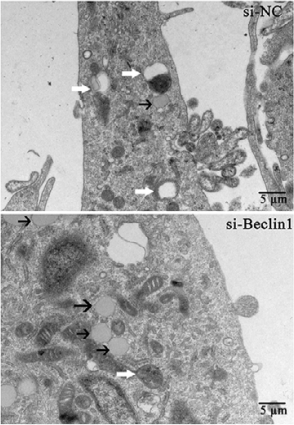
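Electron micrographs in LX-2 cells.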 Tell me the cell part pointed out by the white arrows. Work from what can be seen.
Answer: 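The white arrows point to rounded membrane-bound vacuoles in the cytoplasm. Some of these vacuoles hold pale or membranous content. On this evidence: autophagic vacuoles.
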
